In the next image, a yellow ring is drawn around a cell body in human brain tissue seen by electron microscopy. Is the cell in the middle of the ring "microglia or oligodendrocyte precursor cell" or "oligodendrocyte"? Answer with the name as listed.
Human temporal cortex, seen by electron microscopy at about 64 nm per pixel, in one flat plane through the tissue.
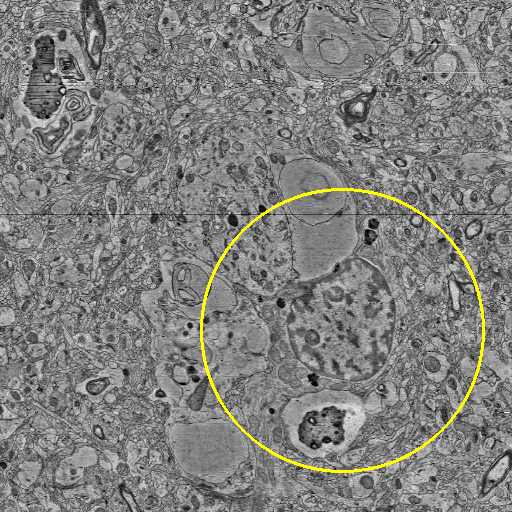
microglia or oligodendrocyte precursor cell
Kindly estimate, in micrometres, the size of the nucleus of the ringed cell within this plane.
Roughly 8 micrometres by 7 micrometres, in this plane.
